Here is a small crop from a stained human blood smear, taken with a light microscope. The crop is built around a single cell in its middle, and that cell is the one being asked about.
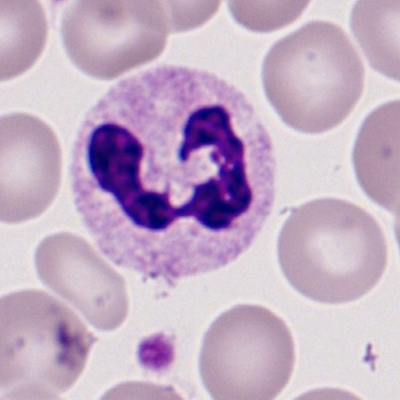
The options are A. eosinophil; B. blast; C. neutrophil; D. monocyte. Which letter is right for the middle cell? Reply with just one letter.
C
